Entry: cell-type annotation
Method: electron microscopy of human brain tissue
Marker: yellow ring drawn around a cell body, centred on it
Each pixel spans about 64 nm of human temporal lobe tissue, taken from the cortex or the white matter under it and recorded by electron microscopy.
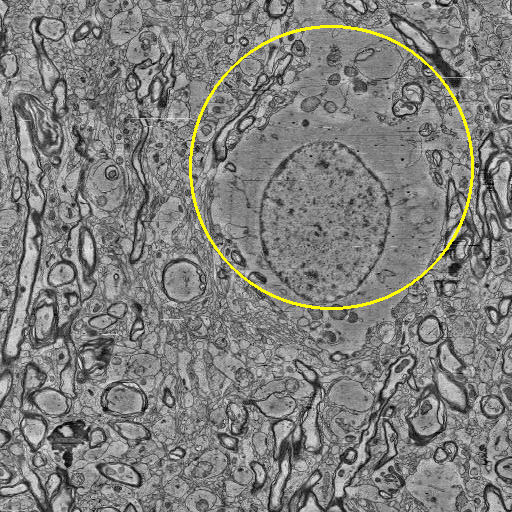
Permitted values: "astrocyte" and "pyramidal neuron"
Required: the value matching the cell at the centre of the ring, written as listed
astrocyte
